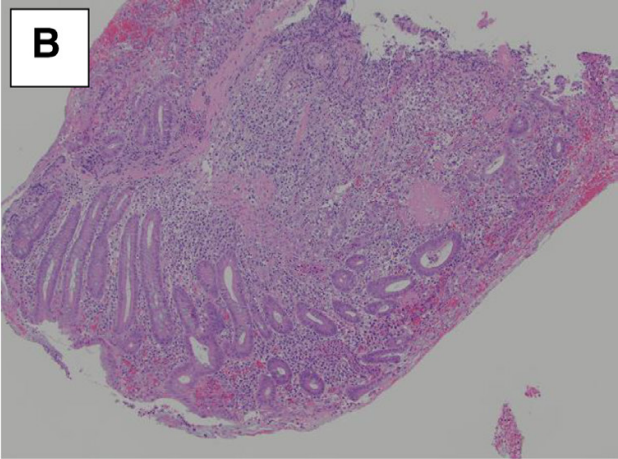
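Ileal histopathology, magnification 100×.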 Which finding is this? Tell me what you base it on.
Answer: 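The lamina propria is densely packed with small dark inflammatory cells. Crypts are separated and pushed apart by the dense cellular infiltrate. Red blood cells lie scattered in the upper mucosa. On this evidence: severe active ileitis.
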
